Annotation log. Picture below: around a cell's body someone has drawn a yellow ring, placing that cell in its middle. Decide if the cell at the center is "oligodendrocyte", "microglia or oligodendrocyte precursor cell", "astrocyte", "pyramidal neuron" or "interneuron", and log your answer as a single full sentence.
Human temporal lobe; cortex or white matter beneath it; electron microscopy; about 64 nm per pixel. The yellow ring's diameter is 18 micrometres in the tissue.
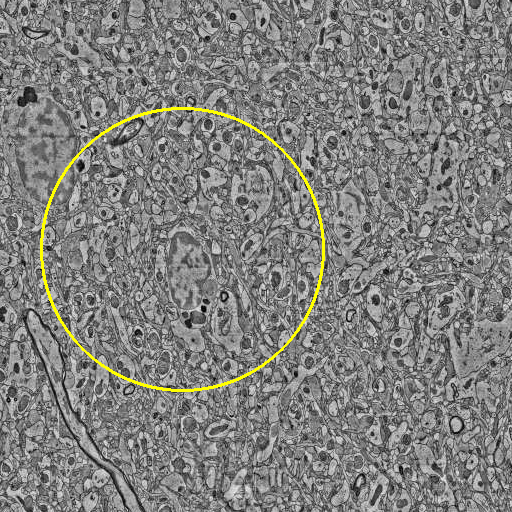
My entry records a microglial cell or oligodendrocyte precursor cell as the cell sitting at the center of the yellow ring.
